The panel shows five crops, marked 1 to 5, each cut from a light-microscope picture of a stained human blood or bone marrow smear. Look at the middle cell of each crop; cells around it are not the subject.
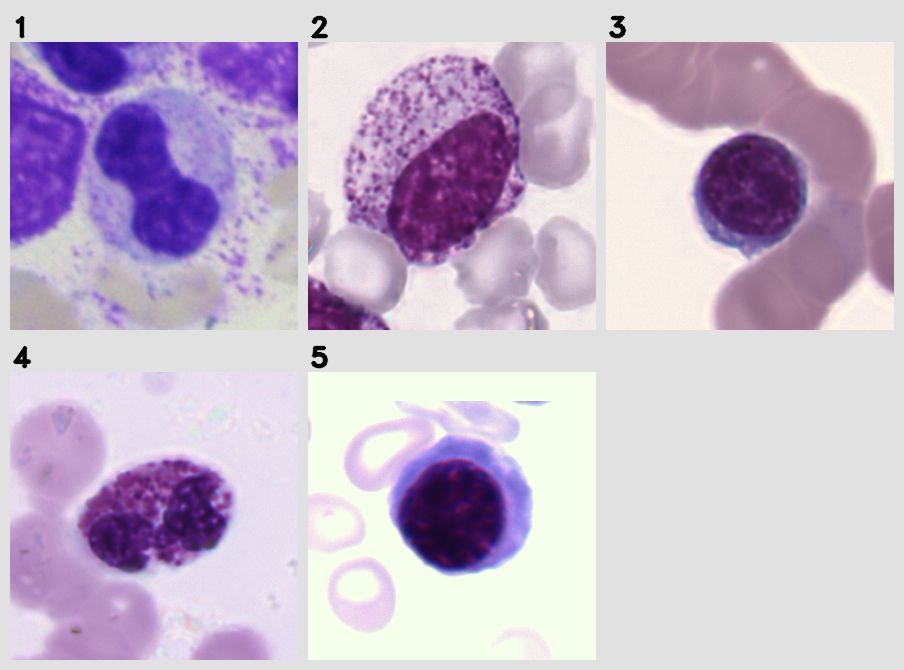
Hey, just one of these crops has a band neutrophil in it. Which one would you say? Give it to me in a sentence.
So the crop with a band neutrophil at its center is crop 1.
